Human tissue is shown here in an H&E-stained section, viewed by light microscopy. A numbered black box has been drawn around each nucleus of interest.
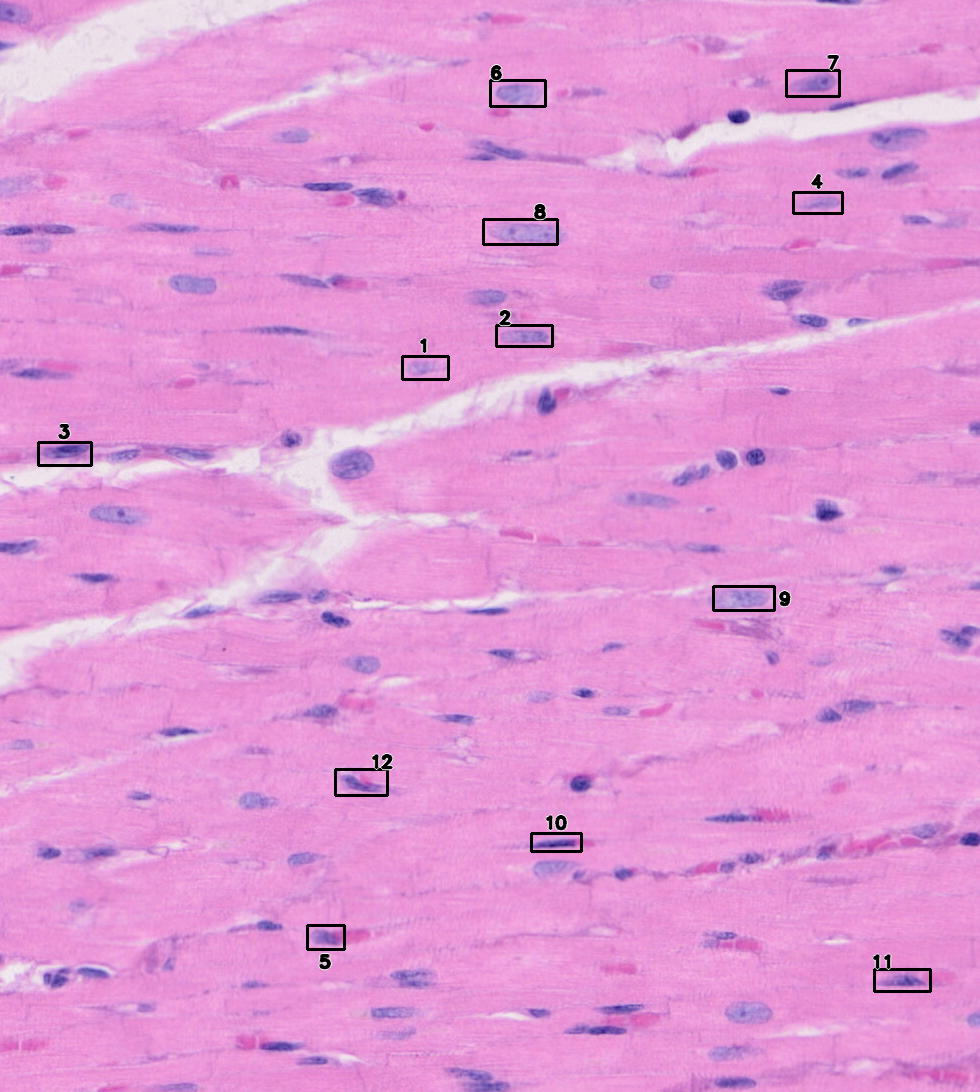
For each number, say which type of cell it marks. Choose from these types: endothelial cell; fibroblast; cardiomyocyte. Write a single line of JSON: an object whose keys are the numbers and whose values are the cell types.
{"1": "cardiomyocyte", "2": "cardiomyocyte", "3": "endothelial cell", "4": "cardiomyocyte", "5": "endothelial cell", "6": "cardiomyocyte", "7": "cardiomyocyte", "8": "cardiomyocyte", "9": "cardiomyocyte", "10": "endothelial cell", "11": "endothelial cell", "12": "endothelial cell"}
